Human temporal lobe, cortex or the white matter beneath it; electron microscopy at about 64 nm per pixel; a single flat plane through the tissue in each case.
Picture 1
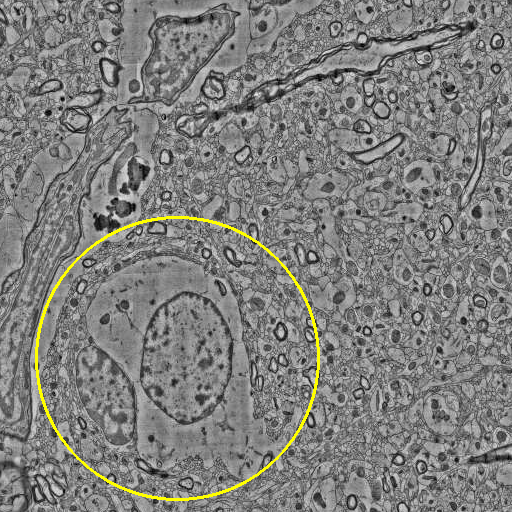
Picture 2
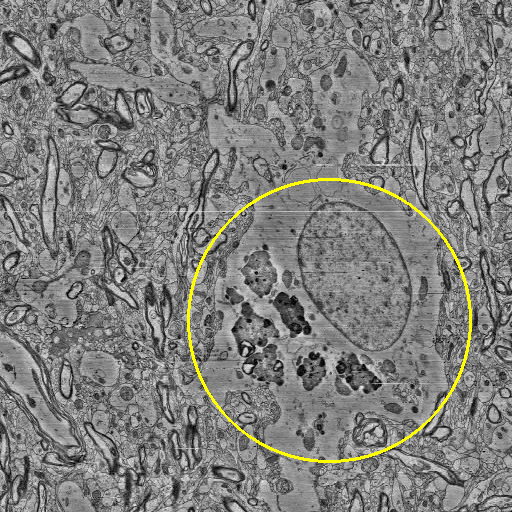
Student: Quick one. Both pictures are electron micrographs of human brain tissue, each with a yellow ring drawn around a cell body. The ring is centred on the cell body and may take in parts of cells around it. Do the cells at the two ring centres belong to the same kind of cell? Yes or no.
yes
